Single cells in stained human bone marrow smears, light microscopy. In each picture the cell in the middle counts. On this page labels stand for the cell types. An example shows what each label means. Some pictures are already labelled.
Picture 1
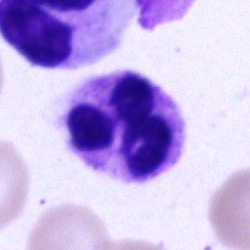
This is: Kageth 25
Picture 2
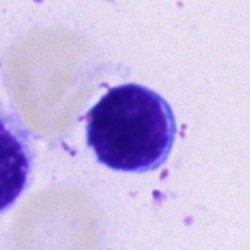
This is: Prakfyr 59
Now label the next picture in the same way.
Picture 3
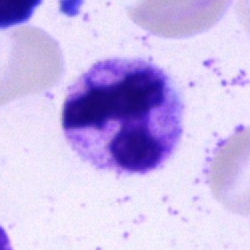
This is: Kageth 25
